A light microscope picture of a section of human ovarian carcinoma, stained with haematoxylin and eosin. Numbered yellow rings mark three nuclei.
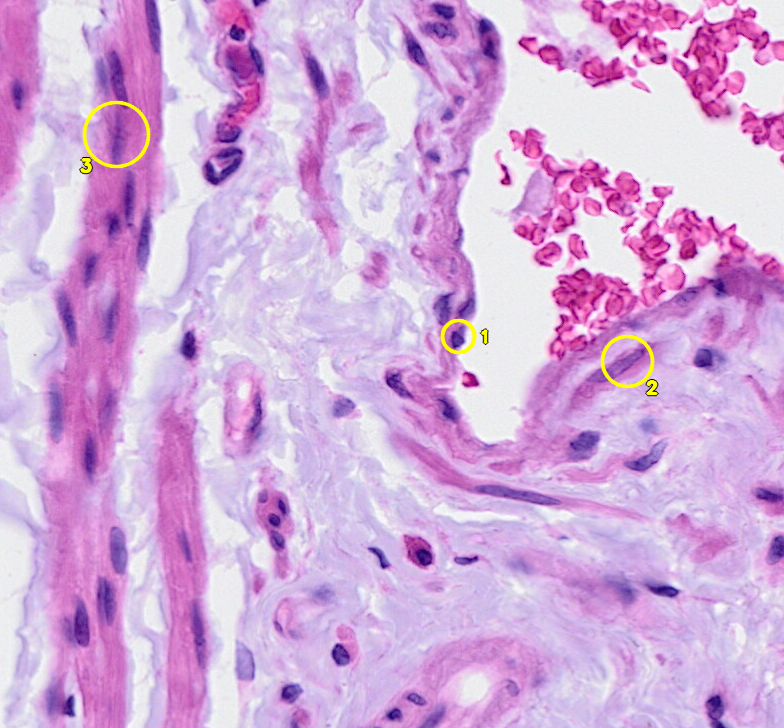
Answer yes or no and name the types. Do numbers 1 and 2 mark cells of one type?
No, the cell marked 1 is an endothelial cell, and the cell marked 2 is a smooth muscle cell.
